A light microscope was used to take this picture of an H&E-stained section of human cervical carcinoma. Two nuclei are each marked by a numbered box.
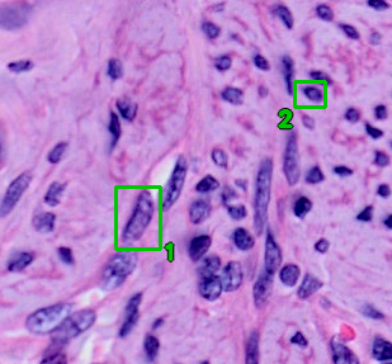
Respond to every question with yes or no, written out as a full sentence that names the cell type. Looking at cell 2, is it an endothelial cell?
No, cell 2 counts as a smooth muscle cell rather than as an endothelial cell.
